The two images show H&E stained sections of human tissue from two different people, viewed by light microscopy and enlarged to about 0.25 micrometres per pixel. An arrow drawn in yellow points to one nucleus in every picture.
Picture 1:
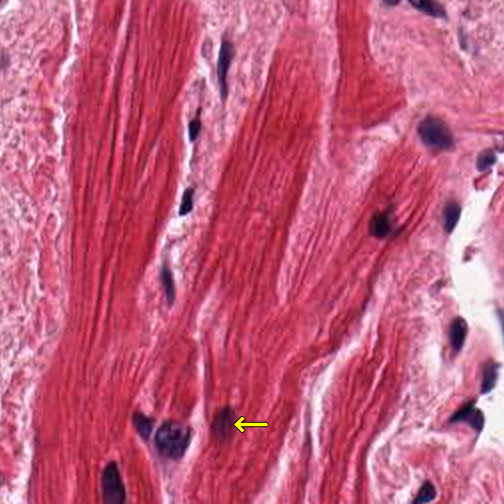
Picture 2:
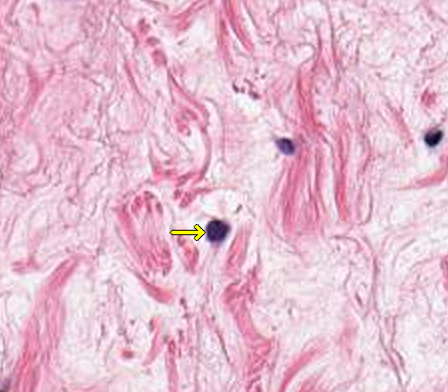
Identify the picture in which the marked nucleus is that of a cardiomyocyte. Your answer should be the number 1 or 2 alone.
1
